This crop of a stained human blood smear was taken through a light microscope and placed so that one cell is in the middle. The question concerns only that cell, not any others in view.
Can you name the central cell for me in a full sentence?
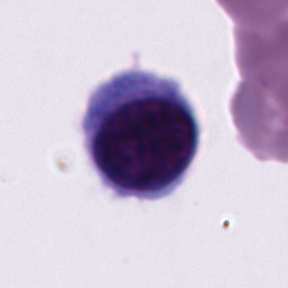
Classified as a hairy cell is the cell in the middle of this crop.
